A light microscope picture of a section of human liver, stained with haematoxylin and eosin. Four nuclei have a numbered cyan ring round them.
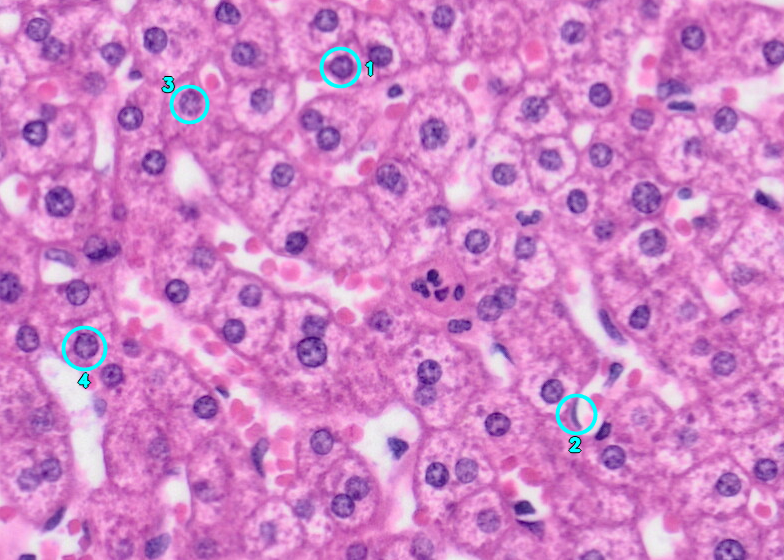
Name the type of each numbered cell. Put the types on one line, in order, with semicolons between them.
hepatocyte; endothelial cell; hepatocyte; hepatocyte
